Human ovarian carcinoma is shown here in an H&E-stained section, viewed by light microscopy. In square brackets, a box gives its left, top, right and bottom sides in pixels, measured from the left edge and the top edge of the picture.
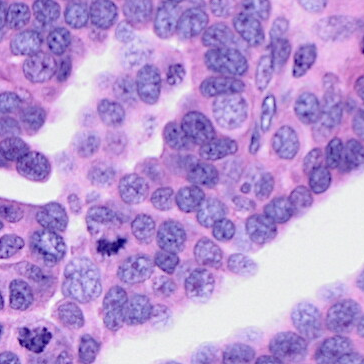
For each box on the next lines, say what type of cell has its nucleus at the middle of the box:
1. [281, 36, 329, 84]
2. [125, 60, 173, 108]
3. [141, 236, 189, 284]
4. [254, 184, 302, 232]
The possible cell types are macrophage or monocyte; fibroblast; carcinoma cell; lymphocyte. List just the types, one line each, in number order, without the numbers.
macrophage or monocyte
carcinoma cell
carcinoma cell
carcinoma cell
